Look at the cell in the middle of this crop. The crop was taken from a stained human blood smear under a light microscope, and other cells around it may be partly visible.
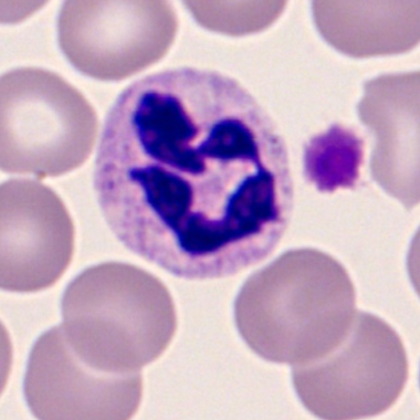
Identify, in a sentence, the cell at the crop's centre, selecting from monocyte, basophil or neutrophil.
The cell at the heart of this crop is a neutrophil.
